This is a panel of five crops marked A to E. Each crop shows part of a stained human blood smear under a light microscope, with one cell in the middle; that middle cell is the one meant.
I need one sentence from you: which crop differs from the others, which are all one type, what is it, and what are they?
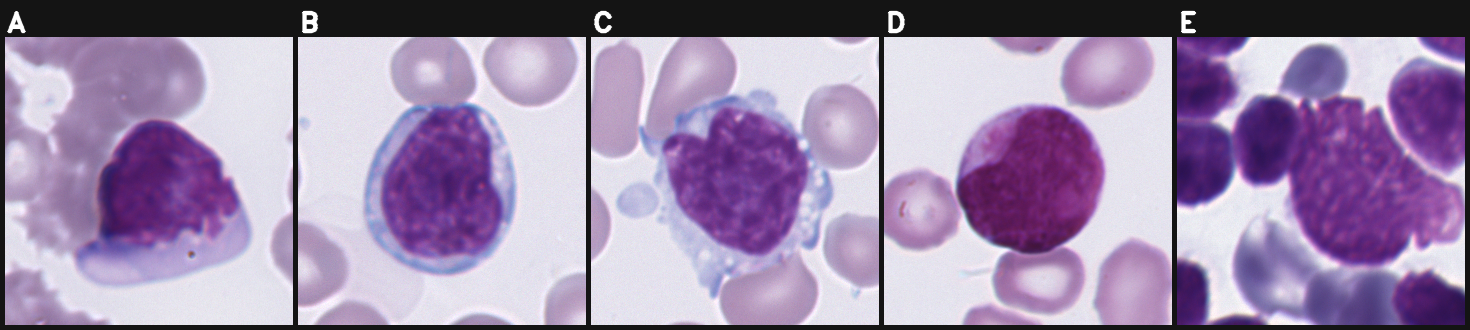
Crop E presents a smudge cell, while myeloblasts are presented by all other crops.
